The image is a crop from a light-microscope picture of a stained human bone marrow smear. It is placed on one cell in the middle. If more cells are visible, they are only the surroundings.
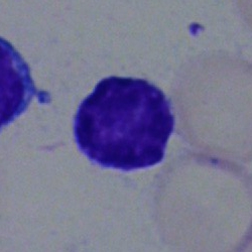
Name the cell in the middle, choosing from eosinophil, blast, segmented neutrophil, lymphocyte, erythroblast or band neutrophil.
lymphocyte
